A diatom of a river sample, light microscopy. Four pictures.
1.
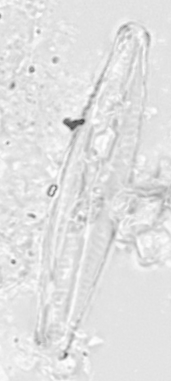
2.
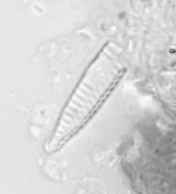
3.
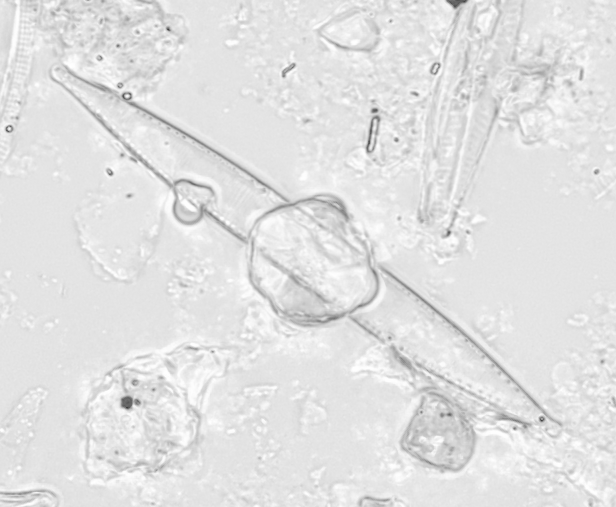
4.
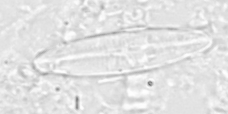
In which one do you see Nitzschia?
In picture 3.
